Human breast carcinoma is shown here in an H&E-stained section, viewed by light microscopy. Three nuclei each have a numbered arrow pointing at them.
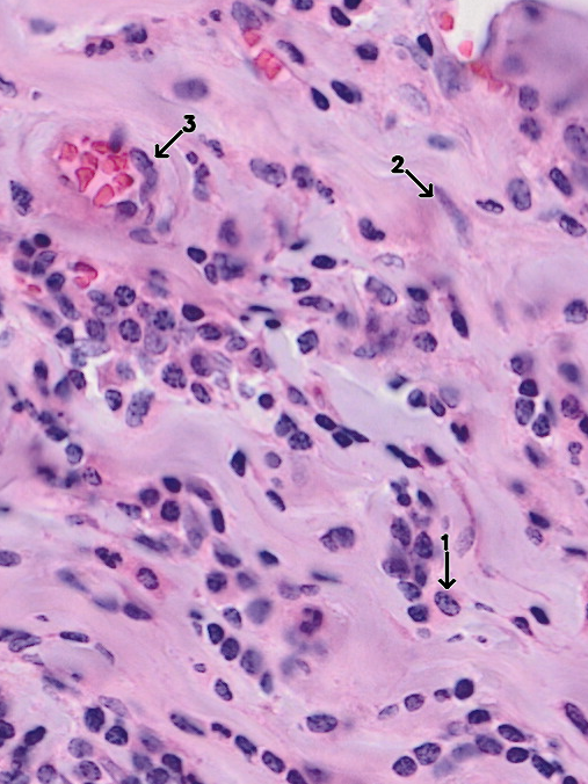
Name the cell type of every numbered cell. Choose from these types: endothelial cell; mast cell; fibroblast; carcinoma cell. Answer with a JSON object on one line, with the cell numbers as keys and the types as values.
{"1": "mast cell", "2": "fibroblast", "3": "endothelial cell"}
